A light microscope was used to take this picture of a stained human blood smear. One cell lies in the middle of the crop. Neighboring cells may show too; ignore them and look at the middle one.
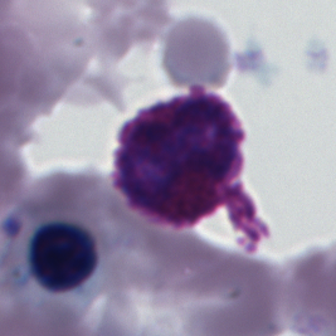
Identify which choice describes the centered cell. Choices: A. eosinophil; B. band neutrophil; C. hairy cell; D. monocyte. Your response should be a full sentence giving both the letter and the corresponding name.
The cell in the center of this crop is an eosinophil, so option A is the one to pick.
